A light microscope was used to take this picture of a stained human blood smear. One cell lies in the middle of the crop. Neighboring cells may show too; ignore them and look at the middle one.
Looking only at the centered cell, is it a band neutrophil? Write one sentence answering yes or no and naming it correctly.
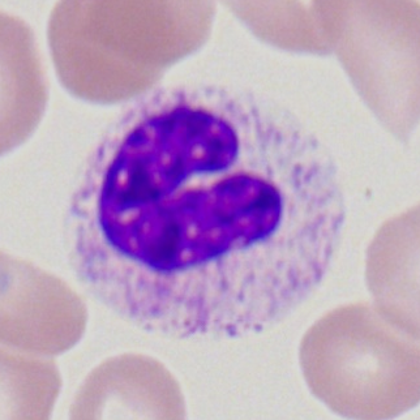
Yes, the central cell is to be recorded as a band neutrophil.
